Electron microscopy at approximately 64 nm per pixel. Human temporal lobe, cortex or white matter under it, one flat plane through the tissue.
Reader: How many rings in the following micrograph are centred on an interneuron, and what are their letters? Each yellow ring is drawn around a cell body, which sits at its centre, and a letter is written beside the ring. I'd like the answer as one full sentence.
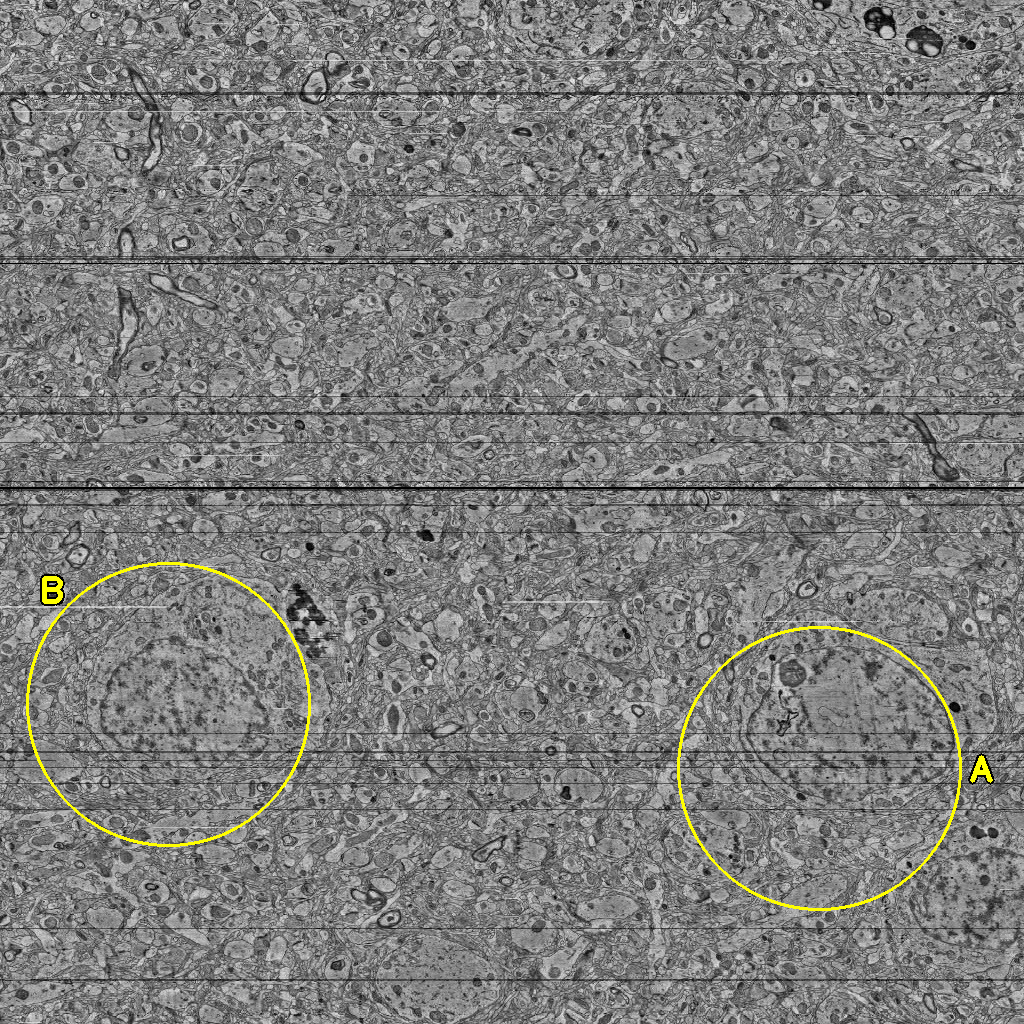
Only one ring takes an interneuron as its centre, and the letter B sits beside it.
